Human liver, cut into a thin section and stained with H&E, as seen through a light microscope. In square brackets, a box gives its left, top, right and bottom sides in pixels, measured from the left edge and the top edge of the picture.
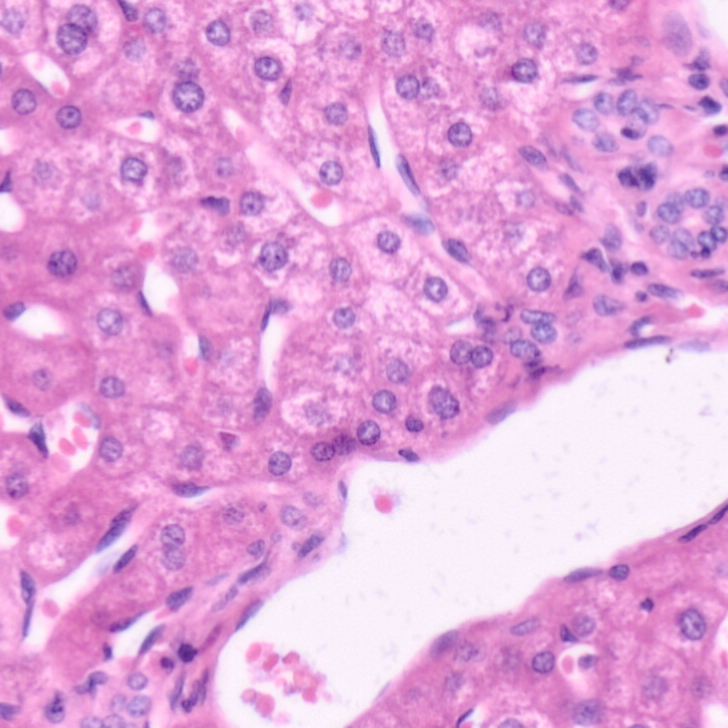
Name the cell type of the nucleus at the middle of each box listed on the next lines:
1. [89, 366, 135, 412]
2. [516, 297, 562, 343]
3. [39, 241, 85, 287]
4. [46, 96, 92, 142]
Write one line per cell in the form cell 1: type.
cell 1: hepatocyte
cell 2: cholangiocyte
cell 3: hepatocyte
cell 4: hepatocyte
